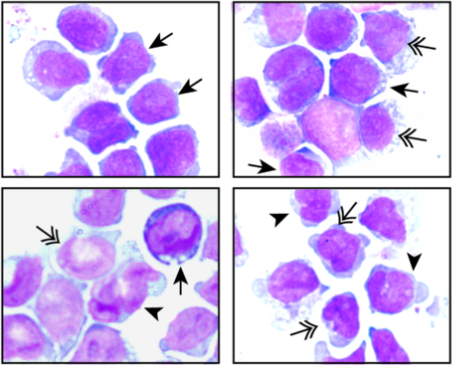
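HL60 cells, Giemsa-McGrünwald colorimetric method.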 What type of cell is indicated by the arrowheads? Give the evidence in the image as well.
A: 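Mature cells. Cells marked by arrowheads have more pale cytoplasm around the nucleus.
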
